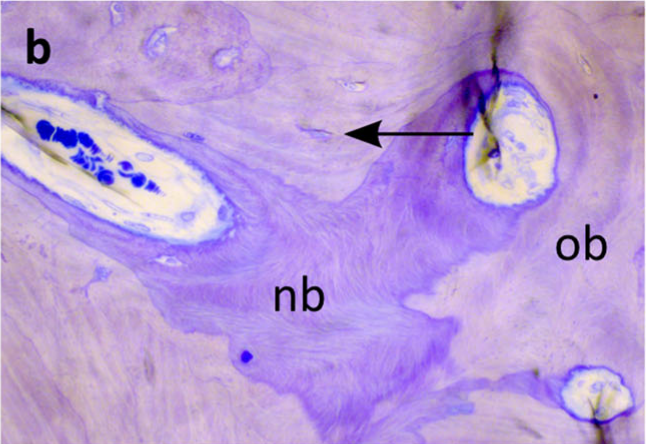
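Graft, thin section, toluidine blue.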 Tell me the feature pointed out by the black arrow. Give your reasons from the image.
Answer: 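The arrow points to a small elongated lacuna in pale bone matrix.
Empty osteocyte cavities.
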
